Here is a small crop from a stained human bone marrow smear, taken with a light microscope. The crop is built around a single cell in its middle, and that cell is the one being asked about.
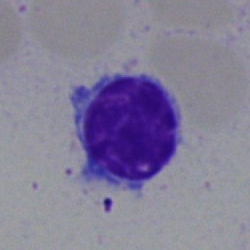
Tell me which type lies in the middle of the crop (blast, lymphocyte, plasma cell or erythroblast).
lymphocyte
